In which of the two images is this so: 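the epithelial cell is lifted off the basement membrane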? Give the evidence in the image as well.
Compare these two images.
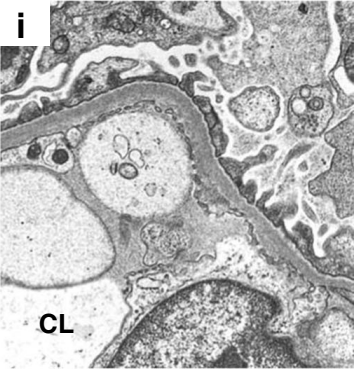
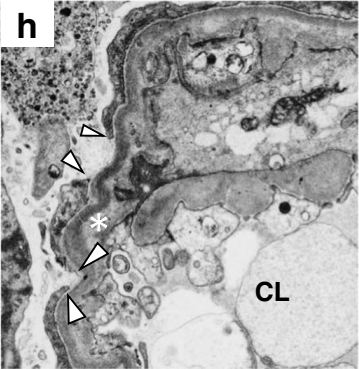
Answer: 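First image: the cells lie closely on a smooth, even basement membrane. Second image: gaps separate the outer cell layer from the basement membrane at several points. That points to this answer: the second image.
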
